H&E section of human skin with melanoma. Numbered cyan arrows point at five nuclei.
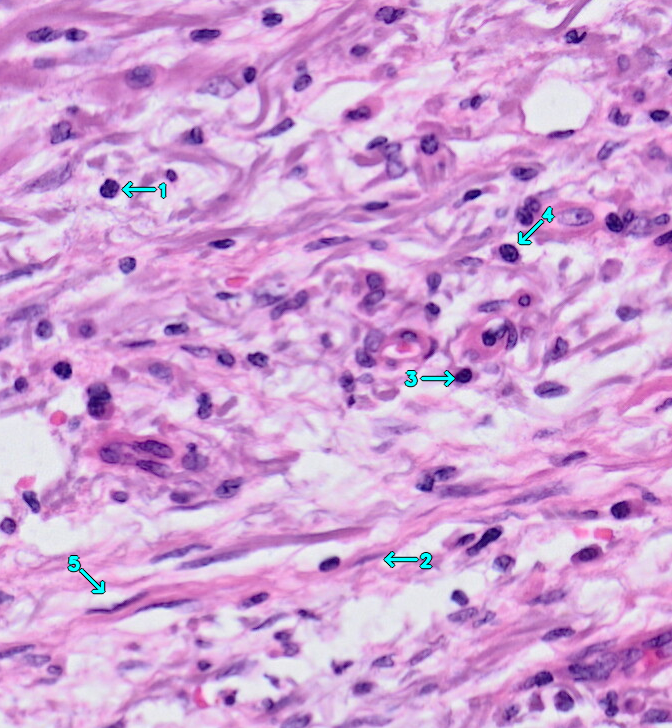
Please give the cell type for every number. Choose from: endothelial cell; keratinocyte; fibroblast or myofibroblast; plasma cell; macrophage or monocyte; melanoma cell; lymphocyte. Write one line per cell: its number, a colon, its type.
1: lymphocyte
2: fibroblast or myofibroblast
3: plasma cell
4: plasma cell
5: fibroblast or myofibroblast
